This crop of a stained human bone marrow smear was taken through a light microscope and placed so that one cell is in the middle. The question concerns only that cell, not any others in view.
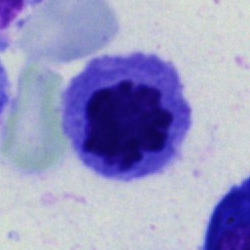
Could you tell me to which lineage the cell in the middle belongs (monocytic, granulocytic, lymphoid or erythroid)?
erythroid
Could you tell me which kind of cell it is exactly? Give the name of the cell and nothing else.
erythroblast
